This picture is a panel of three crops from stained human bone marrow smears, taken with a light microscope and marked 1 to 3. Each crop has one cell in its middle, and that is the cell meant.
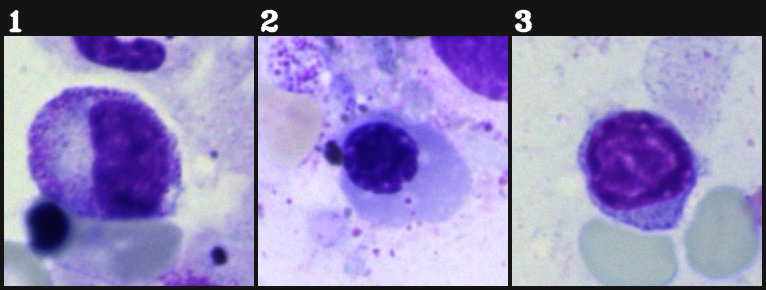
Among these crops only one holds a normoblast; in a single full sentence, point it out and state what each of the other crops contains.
Shown in crop 2 is a normoblast, whereas crop 1 is a metamyelocyte and crop 3 is a lymphocyte.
